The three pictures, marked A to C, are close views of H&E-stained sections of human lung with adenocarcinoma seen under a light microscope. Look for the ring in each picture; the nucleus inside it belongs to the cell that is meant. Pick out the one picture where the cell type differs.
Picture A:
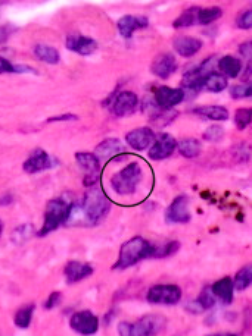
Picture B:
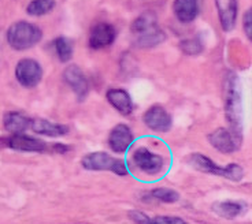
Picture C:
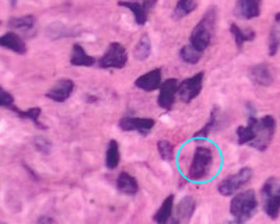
C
